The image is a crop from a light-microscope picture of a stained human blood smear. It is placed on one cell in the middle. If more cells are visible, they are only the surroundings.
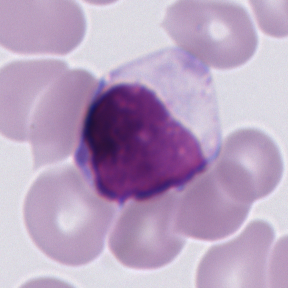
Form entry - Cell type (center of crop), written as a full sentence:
What the crop centres on is a large granular lymphocyte.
